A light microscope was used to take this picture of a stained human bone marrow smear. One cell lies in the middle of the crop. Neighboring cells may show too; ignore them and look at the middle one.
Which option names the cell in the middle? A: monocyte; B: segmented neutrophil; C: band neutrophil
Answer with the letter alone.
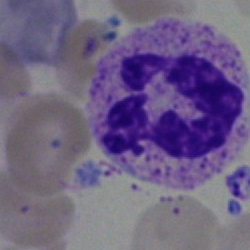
B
